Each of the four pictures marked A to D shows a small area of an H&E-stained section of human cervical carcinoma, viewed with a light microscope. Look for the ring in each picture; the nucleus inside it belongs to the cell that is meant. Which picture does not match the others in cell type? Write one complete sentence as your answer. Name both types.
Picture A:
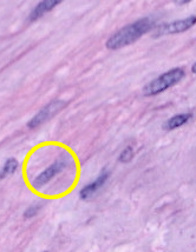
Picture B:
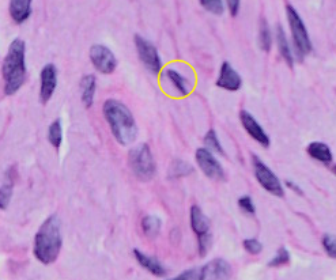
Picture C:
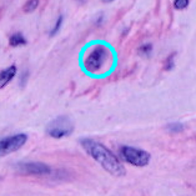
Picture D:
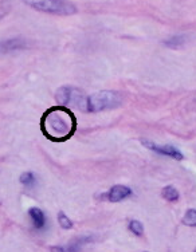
The others show smooth muscle cells, but picture B shows a fibroblast.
